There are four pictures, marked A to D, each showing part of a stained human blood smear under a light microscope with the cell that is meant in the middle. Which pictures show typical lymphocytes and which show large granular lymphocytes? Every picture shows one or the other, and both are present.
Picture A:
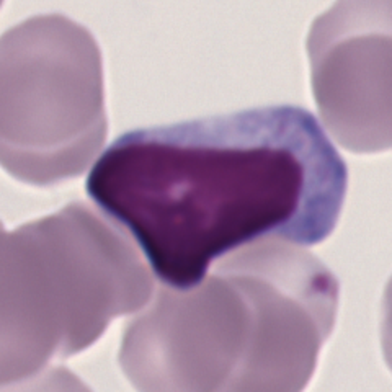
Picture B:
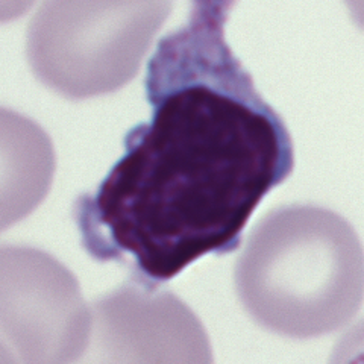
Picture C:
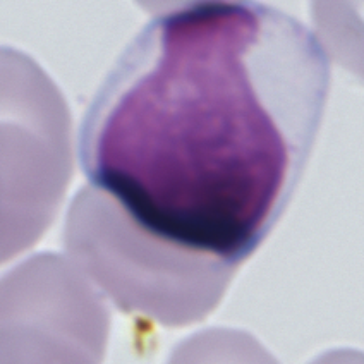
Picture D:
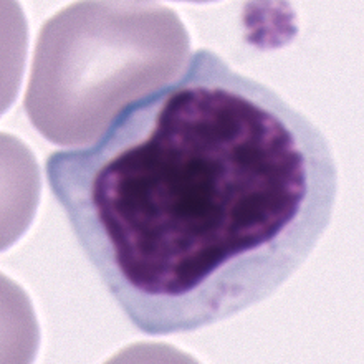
A: typical lymphocyte
B: typical lymphocyte
C: large granular lymphocyte
D: large granular lymphocyte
